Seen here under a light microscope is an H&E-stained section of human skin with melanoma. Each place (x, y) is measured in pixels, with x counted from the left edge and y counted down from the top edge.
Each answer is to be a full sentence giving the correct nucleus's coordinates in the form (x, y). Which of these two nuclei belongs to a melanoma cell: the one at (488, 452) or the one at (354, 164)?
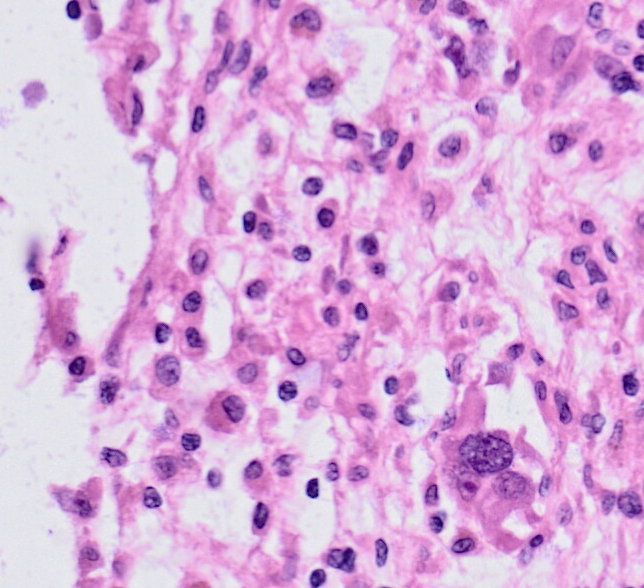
The nucleus positioned at (488, 452) forms part of a melanoma cell.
